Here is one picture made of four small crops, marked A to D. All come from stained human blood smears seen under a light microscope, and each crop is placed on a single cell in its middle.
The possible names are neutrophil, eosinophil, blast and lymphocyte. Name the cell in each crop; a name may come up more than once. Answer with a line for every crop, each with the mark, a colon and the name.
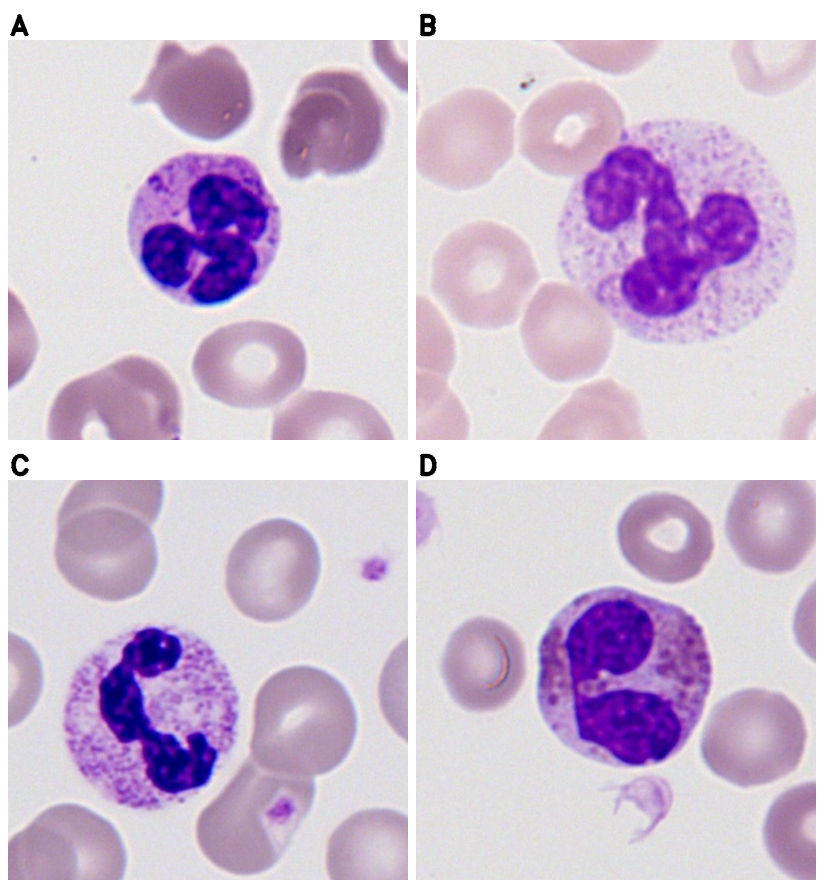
A: neutrophil
B: neutrophil
C: neutrophil
D: eosinophil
